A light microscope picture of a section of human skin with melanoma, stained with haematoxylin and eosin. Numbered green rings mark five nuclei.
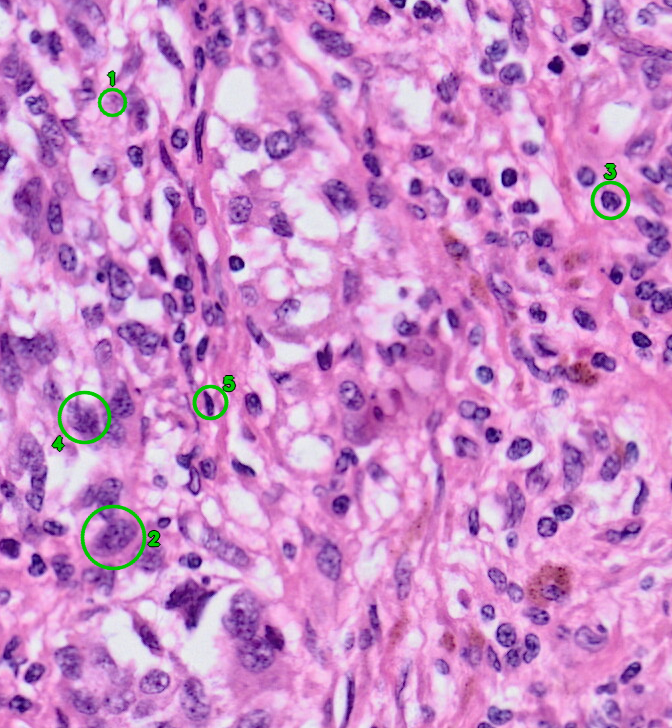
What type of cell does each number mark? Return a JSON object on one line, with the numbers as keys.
{"1": "melanoma cell", "2": "melanoma cell", "3": "lymphocyte", "4": "melanoma cell", "5": "lymphocyte"}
